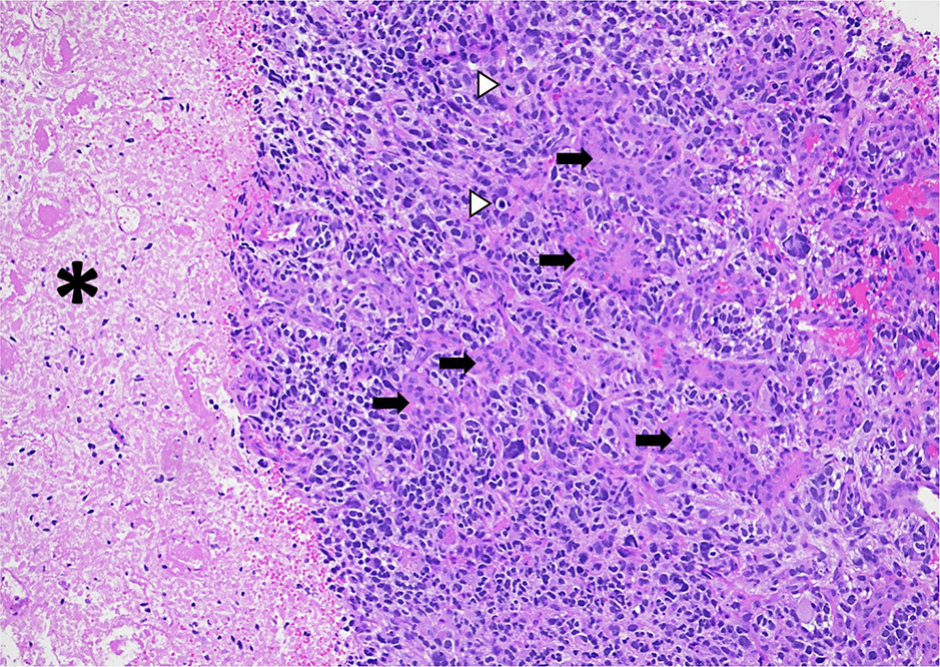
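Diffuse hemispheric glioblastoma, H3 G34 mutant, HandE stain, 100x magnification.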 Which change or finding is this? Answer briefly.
Nuclear pleomorphism.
